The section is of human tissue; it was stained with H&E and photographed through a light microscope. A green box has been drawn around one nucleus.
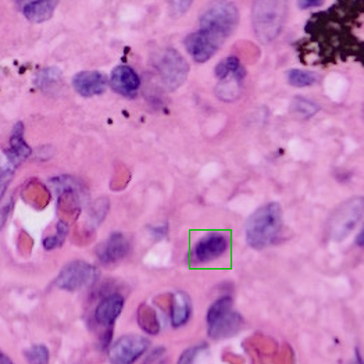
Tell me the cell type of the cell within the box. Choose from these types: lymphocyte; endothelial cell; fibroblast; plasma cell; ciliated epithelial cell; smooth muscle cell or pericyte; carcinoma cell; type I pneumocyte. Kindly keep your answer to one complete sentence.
At the level of cell identity, the cell within the box is a plasma cell.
